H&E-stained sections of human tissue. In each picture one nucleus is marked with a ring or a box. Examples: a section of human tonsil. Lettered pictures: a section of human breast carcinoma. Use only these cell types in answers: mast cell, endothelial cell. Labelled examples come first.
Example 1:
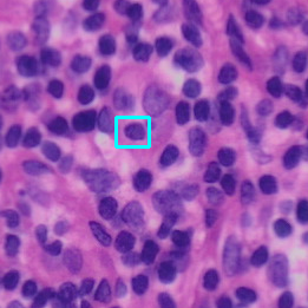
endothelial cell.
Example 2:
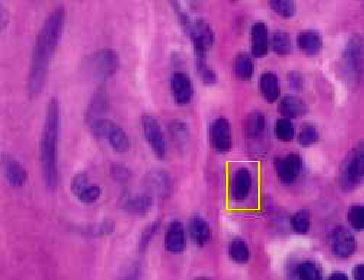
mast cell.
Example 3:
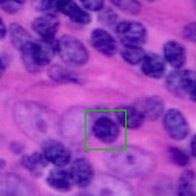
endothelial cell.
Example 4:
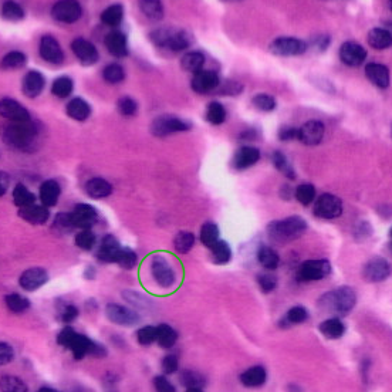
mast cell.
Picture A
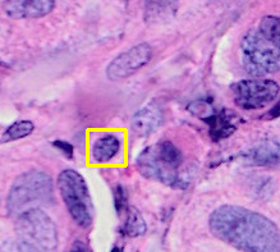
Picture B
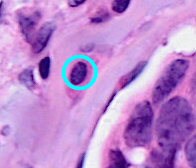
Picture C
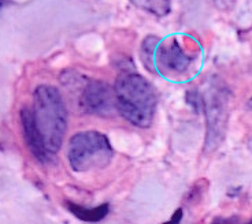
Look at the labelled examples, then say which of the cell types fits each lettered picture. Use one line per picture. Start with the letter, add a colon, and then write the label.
A: mast cell.
B: mast cell.
C: endothelial cell.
